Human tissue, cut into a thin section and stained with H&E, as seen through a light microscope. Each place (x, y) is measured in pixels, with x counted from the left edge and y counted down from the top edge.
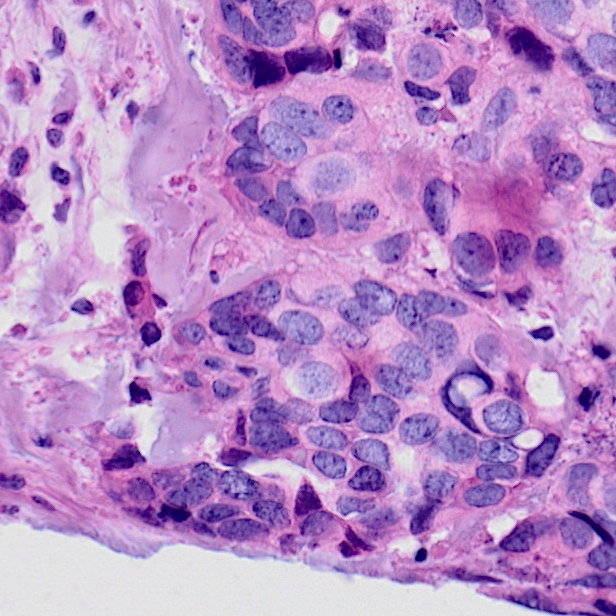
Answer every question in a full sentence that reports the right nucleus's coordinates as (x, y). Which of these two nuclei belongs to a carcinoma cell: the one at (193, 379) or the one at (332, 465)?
Heads up, the nucleus at (332, 465) is the one that belongs to a carcinoma cell.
